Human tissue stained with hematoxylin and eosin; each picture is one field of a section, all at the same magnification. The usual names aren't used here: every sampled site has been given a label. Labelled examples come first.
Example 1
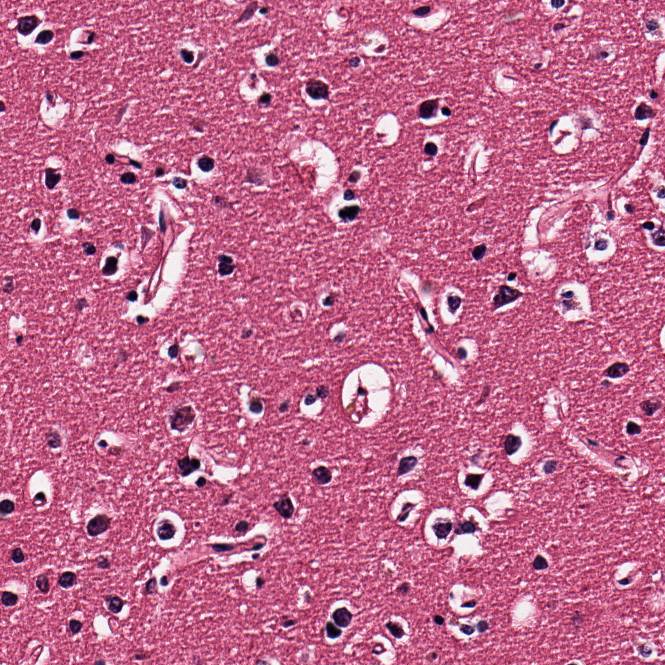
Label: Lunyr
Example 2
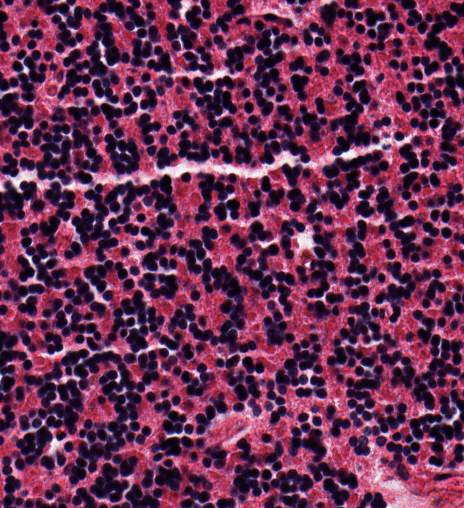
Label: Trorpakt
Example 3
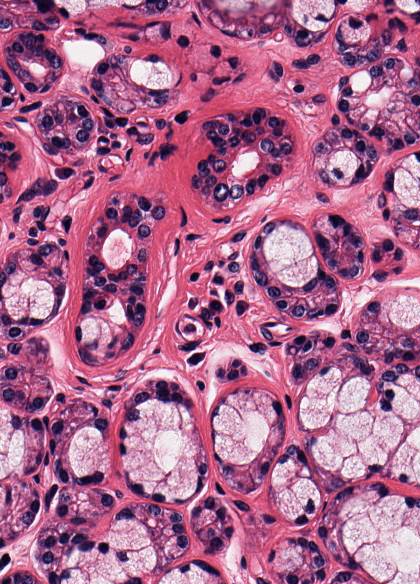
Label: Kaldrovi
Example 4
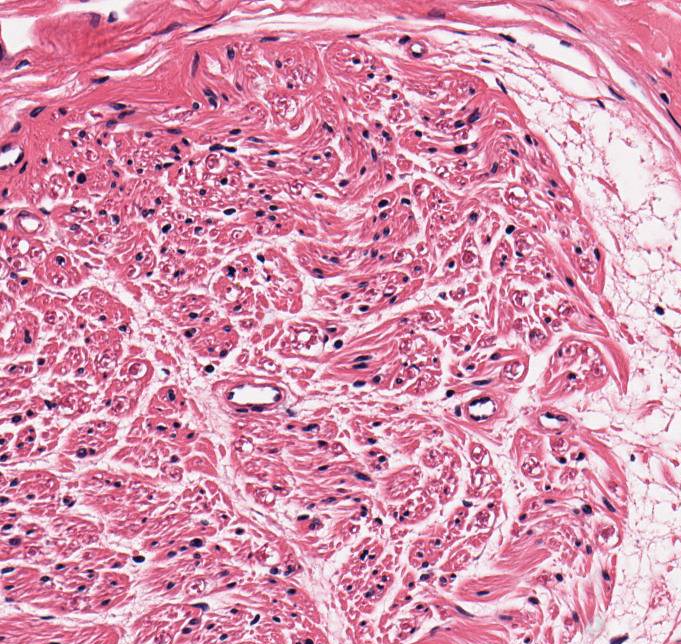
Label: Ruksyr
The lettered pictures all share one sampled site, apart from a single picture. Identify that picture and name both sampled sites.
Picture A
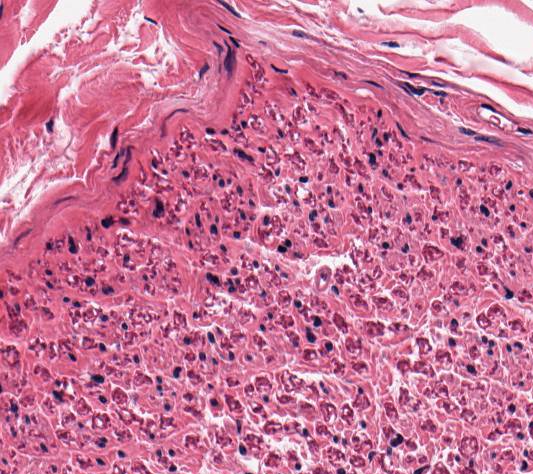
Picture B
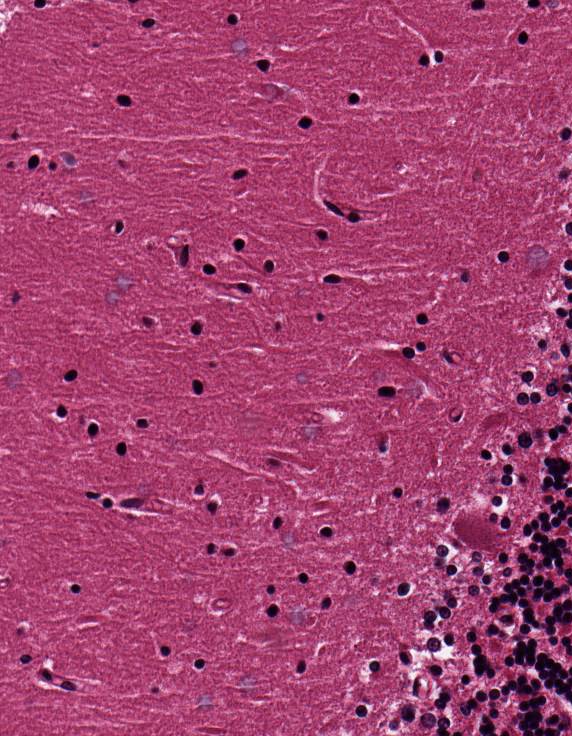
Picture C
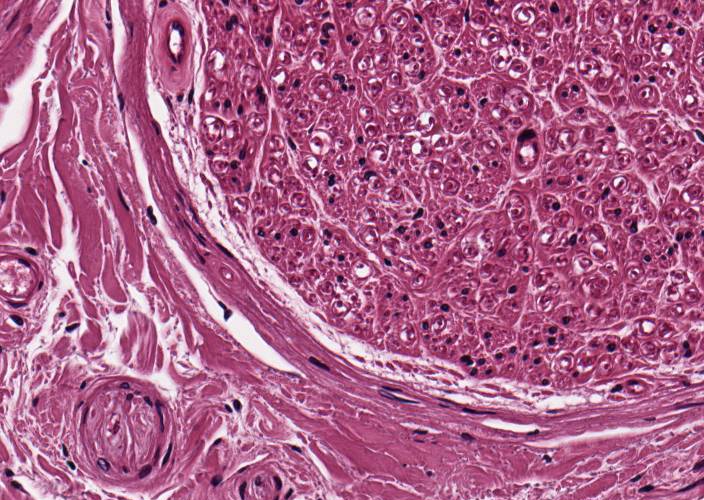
B (Trorpakt) is the exception; every other picture is Ruksyr.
